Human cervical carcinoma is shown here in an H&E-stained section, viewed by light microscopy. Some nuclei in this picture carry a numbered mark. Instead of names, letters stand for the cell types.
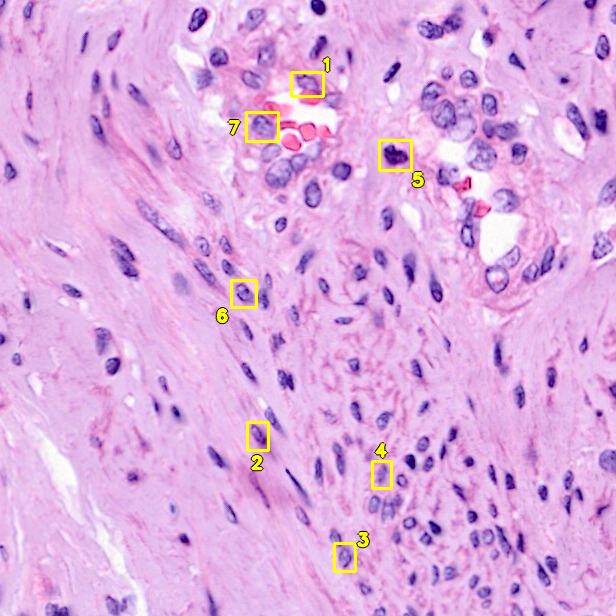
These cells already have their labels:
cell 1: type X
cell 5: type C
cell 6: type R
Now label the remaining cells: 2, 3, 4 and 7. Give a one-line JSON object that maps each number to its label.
{"2": "type R", "3": "type R", "4": "type R", "7": "type X"}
